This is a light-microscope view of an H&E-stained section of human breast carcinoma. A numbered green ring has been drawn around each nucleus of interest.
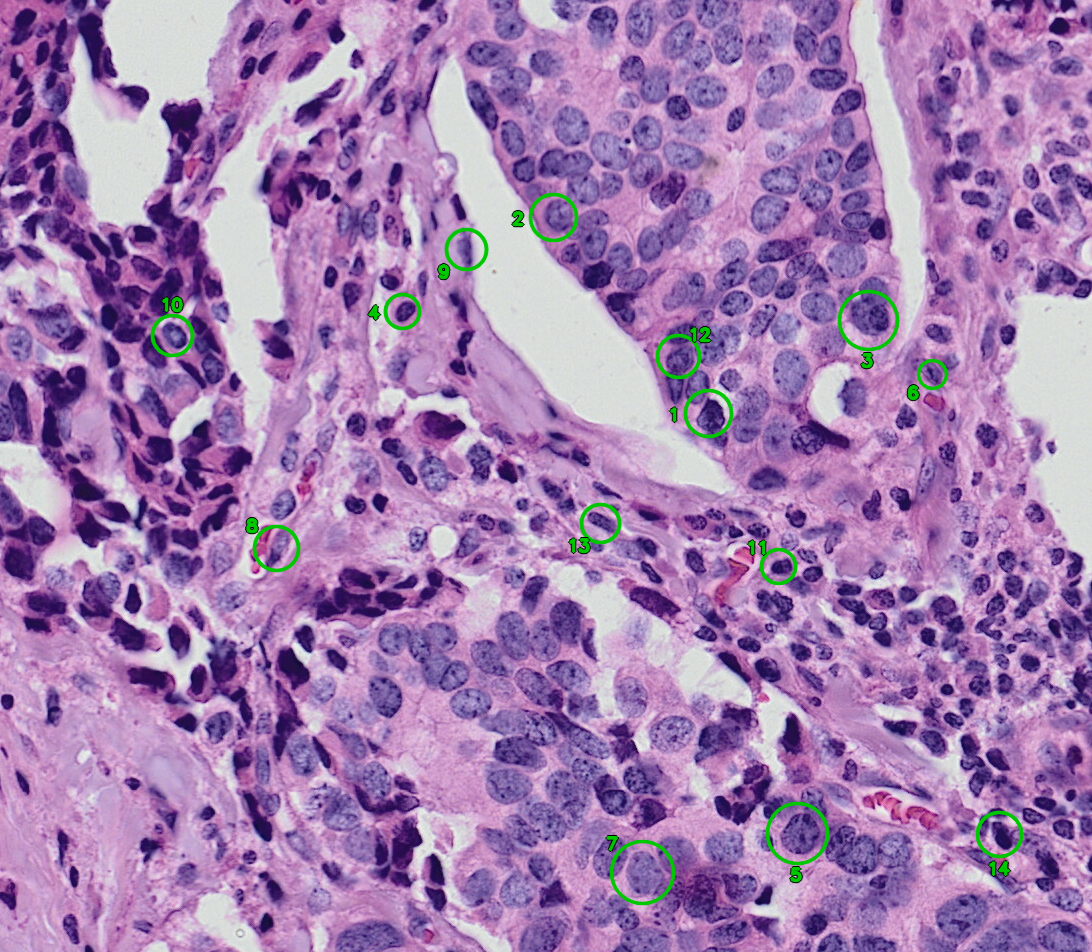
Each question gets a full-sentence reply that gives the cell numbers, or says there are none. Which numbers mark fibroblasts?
Cell 9 is a fibroblast, while every other numbered cell is not.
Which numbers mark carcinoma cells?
The cells the numbers 1, 2, 3, 5, 7, 10 and 12 point to are carcinoma cells.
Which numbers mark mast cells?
Cells that were given the numbers 4 and 13 are mast cells.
